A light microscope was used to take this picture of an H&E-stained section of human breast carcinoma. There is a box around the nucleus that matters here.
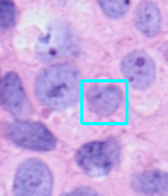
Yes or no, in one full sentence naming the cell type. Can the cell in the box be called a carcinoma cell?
Yes, it is as a carcinoma cell that the cell in the box is classified.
